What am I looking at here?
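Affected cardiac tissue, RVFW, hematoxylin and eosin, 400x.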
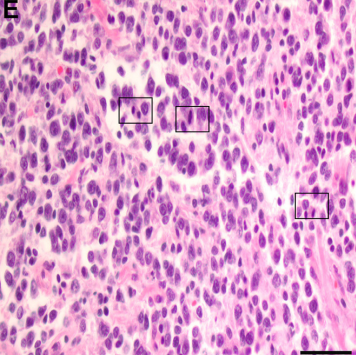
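This is myocardium replaced by dense sheets of large neoplastic lymphocytes. The cells are round, with large round to oval nuclei, coarse purple chromatin and scant pale cytoplasm, and they vary in size. Scattered cells have dark, condensed and irregular chromatin, consistent with mitotic figures. Only a few thin, elongated pink strands of residual muscle remain between the cells.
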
